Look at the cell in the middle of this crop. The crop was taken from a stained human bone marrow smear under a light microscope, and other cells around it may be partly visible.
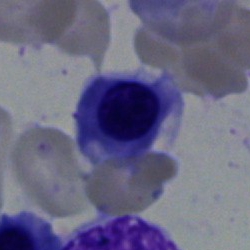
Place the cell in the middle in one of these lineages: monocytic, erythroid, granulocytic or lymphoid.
erythroid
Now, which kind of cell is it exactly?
erythroblast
